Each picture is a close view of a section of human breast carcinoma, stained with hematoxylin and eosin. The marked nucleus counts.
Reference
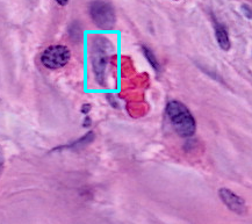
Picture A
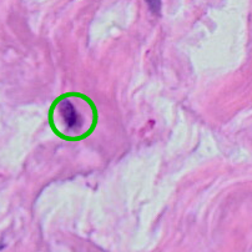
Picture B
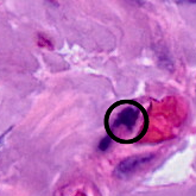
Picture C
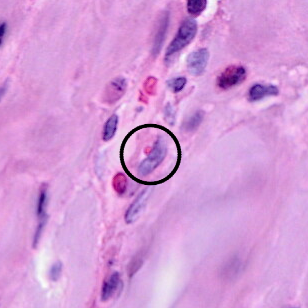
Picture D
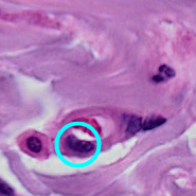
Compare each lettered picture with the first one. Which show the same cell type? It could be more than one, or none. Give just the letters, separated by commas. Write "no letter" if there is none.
B, C, D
